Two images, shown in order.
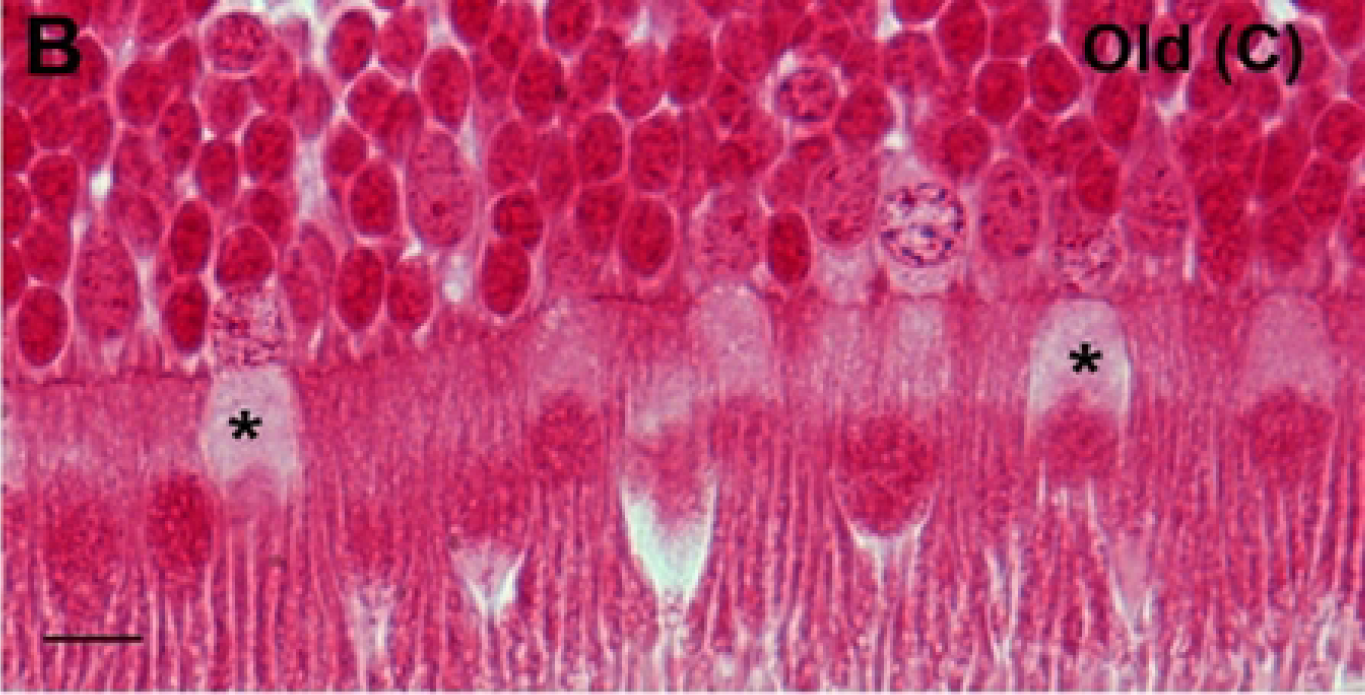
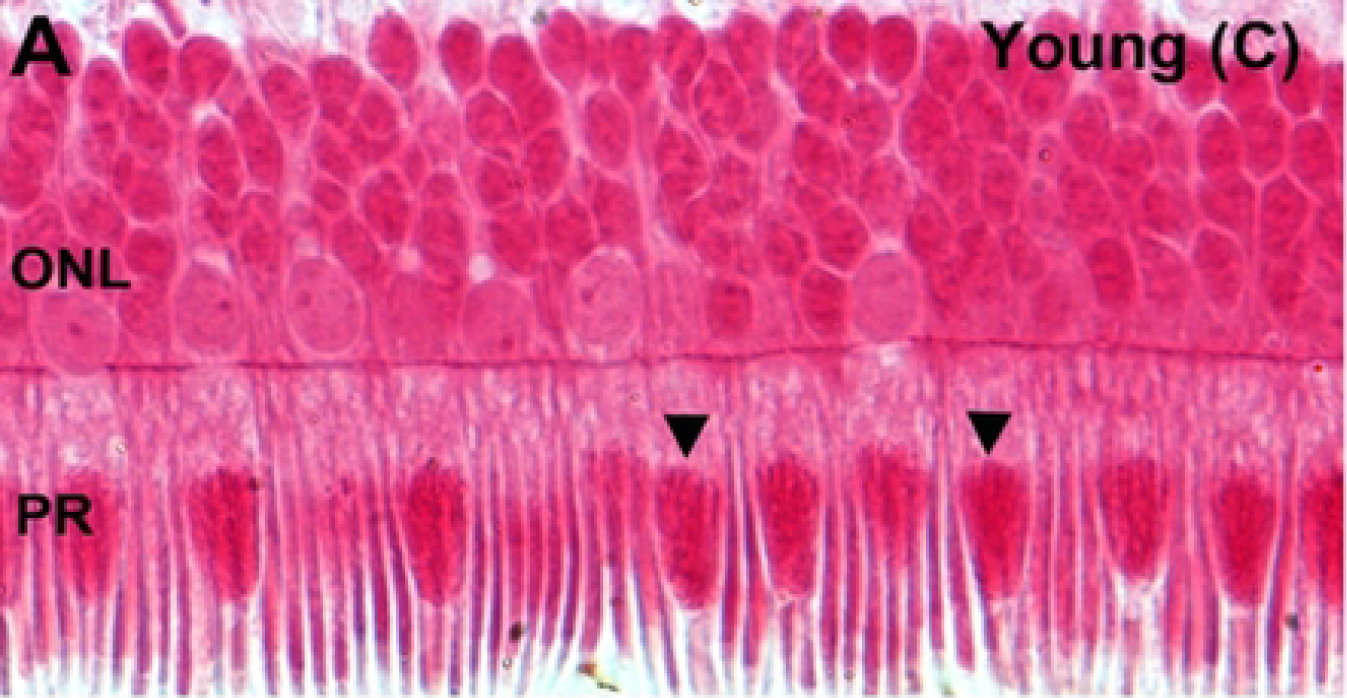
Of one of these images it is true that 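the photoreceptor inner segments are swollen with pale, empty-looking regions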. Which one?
the first image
